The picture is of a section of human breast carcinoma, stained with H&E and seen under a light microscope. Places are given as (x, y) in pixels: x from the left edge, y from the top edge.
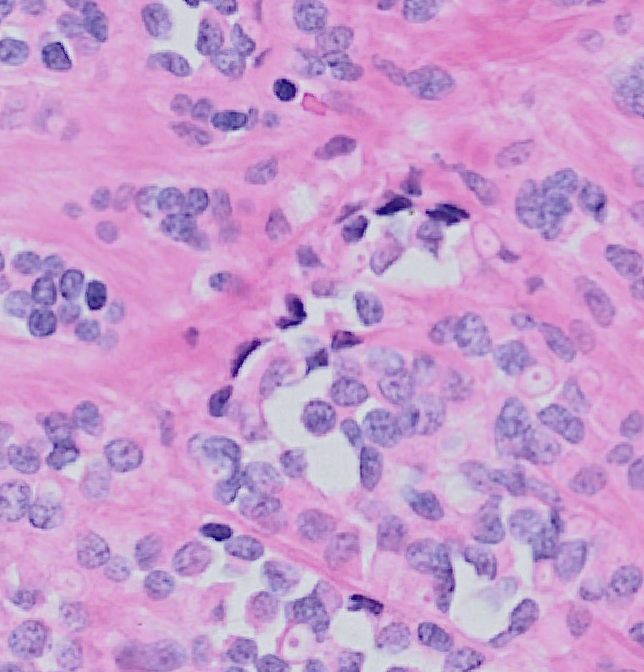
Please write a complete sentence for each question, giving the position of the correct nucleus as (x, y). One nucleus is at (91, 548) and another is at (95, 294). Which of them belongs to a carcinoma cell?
The nucleus at (91, 548) is the one of the two that belongs to a carcinoma cell.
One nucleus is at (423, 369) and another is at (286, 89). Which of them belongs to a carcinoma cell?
So, of the two, the nucleus at (423, 369) is the one belonging to a carcinoma cell.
